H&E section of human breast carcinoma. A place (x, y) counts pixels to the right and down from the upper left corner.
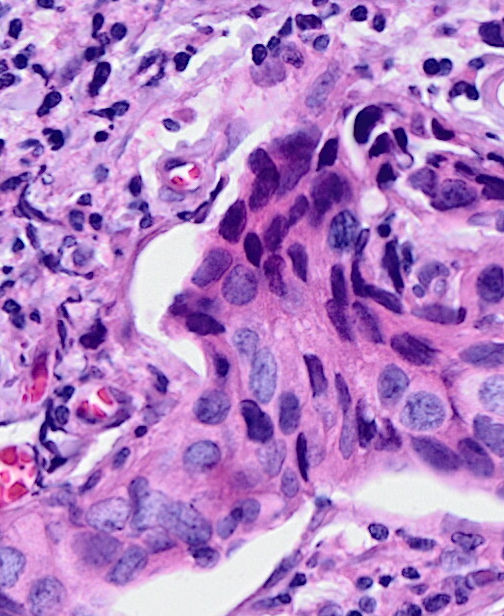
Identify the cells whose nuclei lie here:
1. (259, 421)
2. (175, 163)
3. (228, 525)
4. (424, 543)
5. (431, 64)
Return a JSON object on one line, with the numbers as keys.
{"1": "carcinoma cell", "2": "endothelial cell", "3": "carcinoma cell", "4": "lymphocyte", "5": "lymphocyte"}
